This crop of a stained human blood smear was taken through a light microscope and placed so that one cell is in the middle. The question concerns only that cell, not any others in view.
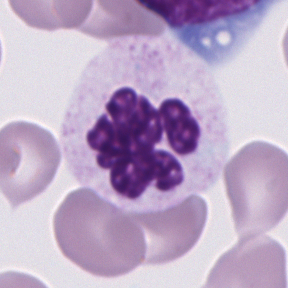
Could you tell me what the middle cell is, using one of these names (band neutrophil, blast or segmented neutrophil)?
segmented neutrophil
